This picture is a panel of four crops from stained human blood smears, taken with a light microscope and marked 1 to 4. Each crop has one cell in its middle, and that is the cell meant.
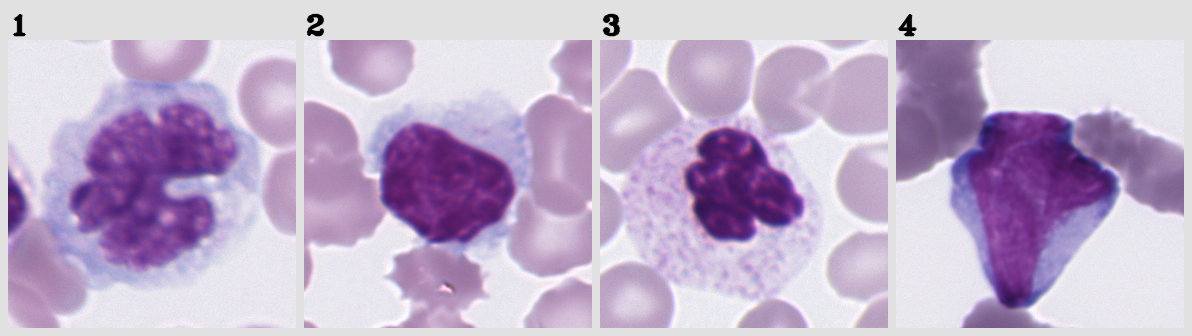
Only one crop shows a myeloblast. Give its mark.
4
